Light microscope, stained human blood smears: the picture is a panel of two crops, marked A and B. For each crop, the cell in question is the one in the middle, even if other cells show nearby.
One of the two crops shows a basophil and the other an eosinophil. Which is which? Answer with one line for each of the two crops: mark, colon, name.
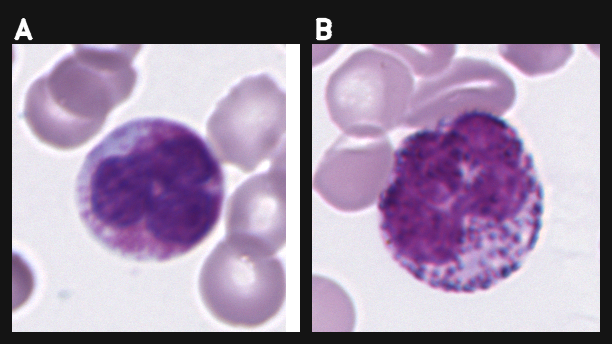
A: eosinophil
B: basophil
